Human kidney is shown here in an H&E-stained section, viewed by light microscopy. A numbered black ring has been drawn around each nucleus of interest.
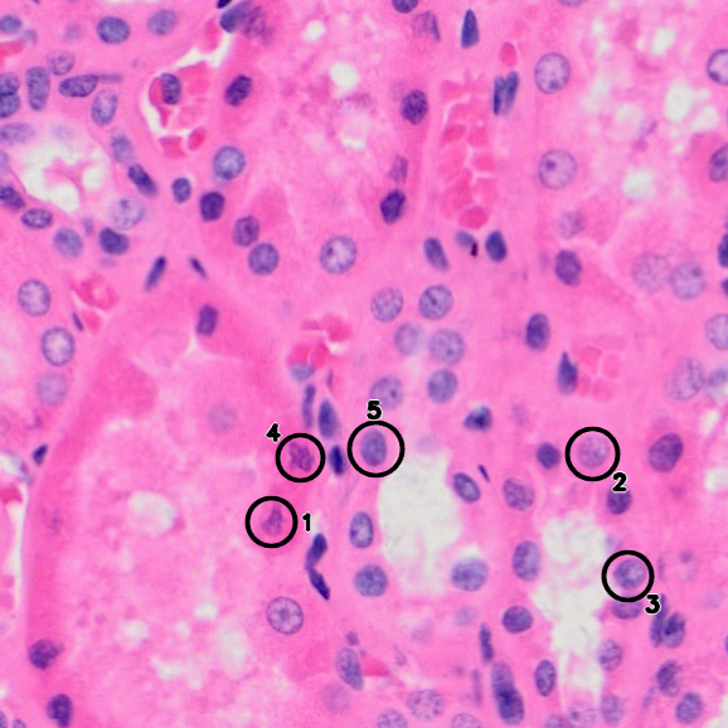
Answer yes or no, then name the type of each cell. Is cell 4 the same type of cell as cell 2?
No, cell 2 is a loop of Henle or distal tubule cell, and cell 4 is a proximal tubule cell.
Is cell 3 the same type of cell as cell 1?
No, cell 3 should be called a loop of Henle or distal tubule cell, and cell 1 should be called a proximal tubule cell.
